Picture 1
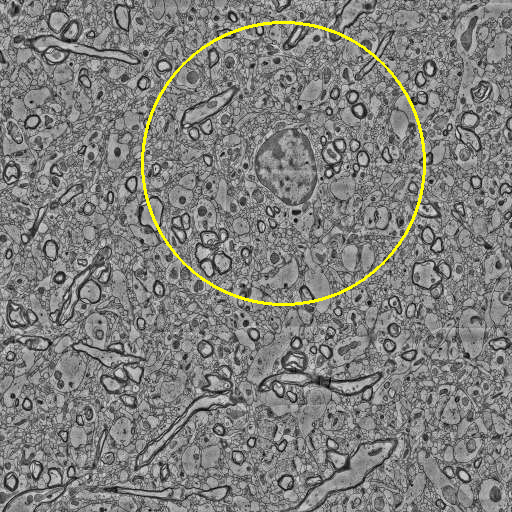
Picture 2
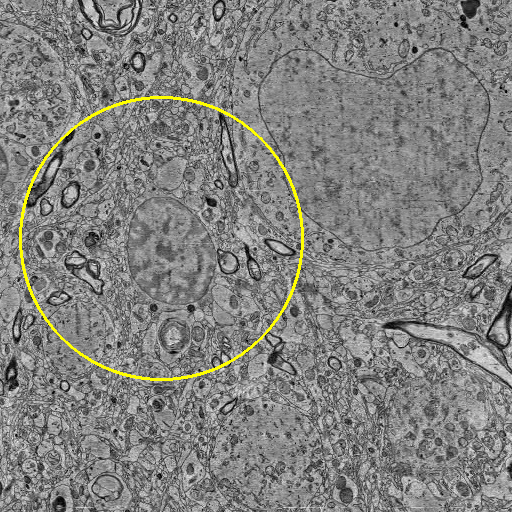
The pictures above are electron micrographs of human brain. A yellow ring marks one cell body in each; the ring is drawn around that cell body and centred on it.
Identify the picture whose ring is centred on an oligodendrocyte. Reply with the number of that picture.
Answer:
2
